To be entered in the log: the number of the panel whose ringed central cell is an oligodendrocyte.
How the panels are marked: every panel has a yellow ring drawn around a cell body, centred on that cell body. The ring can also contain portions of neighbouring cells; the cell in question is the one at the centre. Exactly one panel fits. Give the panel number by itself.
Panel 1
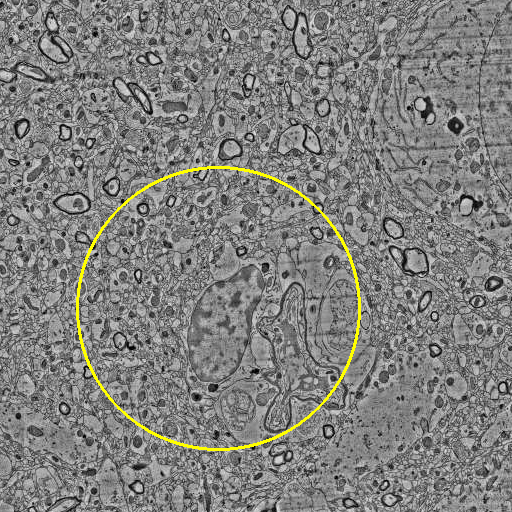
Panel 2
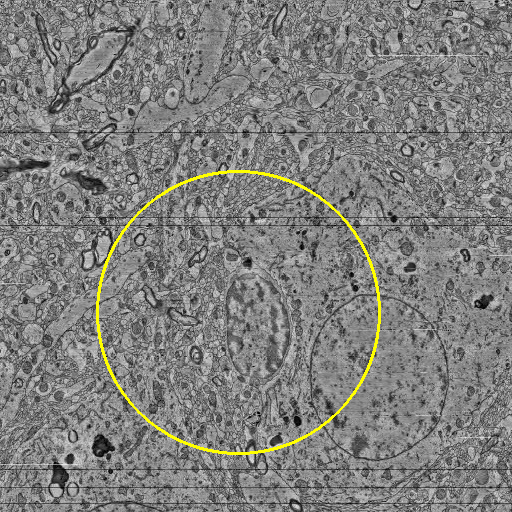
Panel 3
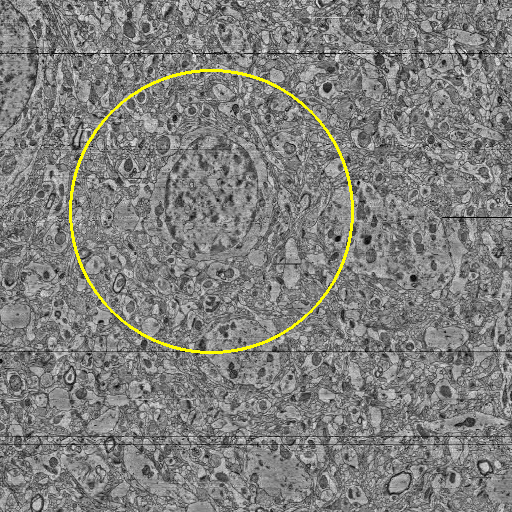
2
